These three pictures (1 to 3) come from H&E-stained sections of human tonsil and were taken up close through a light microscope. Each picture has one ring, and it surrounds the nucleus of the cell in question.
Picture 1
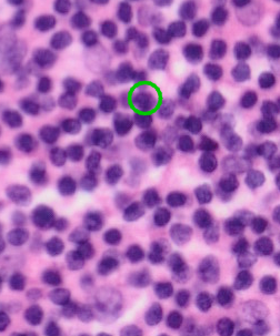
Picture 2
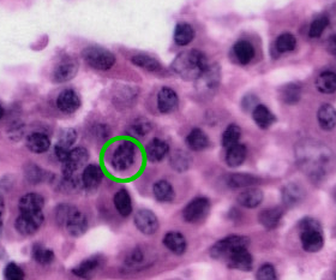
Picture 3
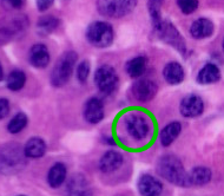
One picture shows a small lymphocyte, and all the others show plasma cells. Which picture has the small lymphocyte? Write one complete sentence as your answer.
It is picture 1 that shows the small lymphocyte.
